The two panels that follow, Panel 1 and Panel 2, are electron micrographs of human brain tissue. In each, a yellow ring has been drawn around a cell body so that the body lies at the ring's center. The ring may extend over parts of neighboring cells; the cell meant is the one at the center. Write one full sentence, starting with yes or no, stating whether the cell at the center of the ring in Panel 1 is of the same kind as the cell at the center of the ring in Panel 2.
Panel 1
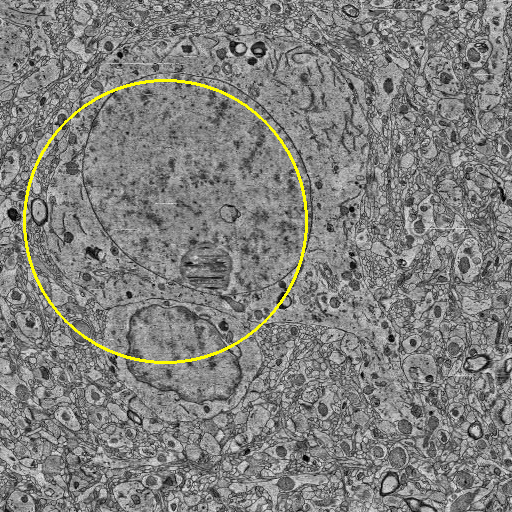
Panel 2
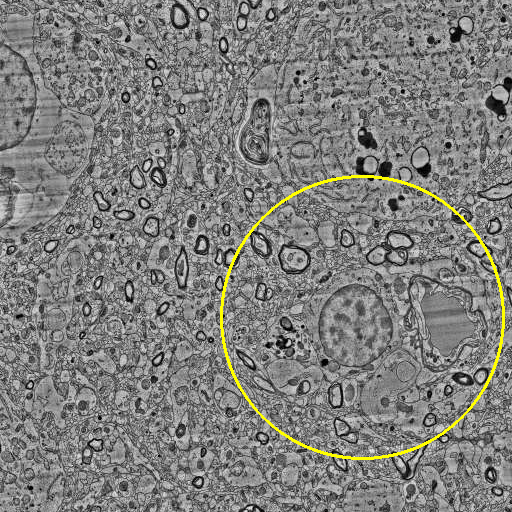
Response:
No, the cells in the two panels are of two kinds.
